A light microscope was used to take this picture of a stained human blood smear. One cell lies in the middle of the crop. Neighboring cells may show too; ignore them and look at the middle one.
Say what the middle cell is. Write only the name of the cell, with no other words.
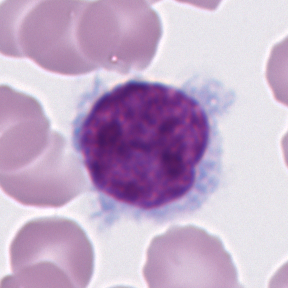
hairy cell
